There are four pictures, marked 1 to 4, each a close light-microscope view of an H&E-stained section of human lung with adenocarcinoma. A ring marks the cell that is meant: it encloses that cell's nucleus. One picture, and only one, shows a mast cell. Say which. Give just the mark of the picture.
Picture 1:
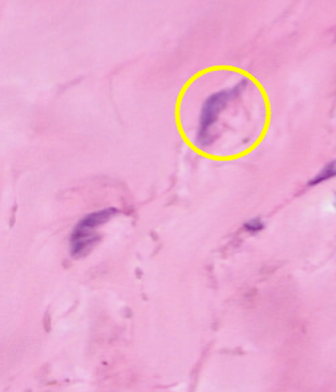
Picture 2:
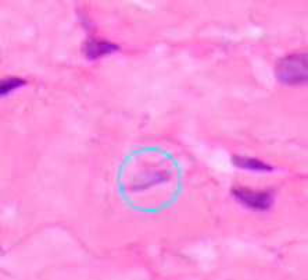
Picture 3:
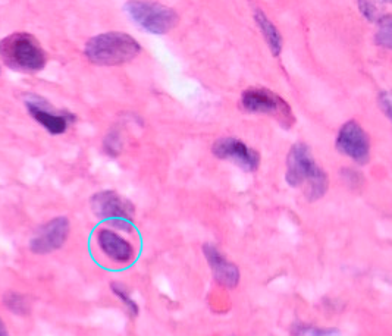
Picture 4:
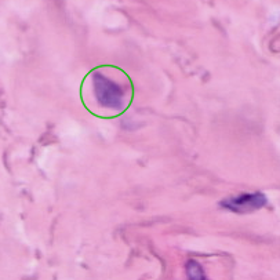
3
